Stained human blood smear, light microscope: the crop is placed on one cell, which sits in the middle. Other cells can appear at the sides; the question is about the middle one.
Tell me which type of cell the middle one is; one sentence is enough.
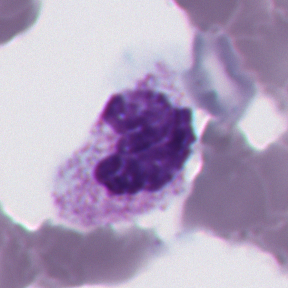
The center cell of this crop is a segmented neutrophil.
